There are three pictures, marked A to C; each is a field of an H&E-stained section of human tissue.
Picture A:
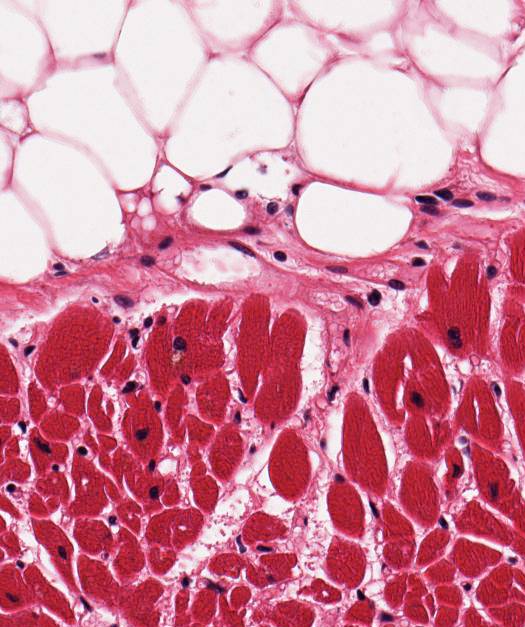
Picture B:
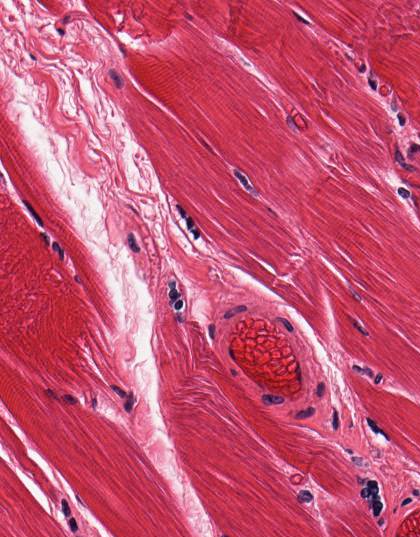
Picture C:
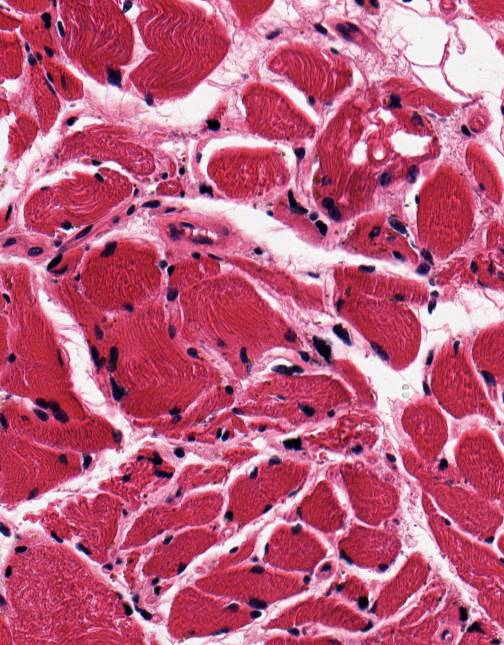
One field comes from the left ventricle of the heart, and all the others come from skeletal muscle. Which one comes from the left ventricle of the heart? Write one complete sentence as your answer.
Picture A comes from the left ventricle of the heart.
